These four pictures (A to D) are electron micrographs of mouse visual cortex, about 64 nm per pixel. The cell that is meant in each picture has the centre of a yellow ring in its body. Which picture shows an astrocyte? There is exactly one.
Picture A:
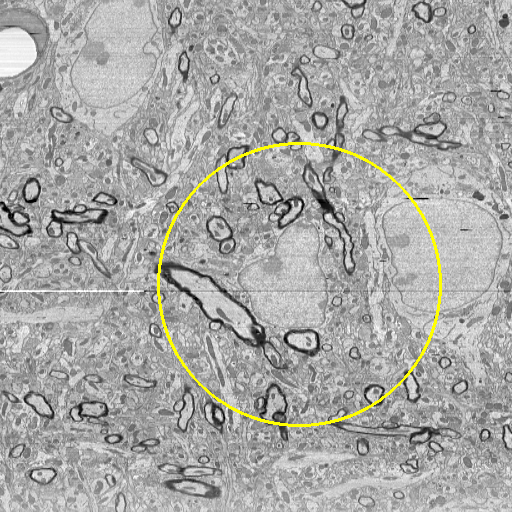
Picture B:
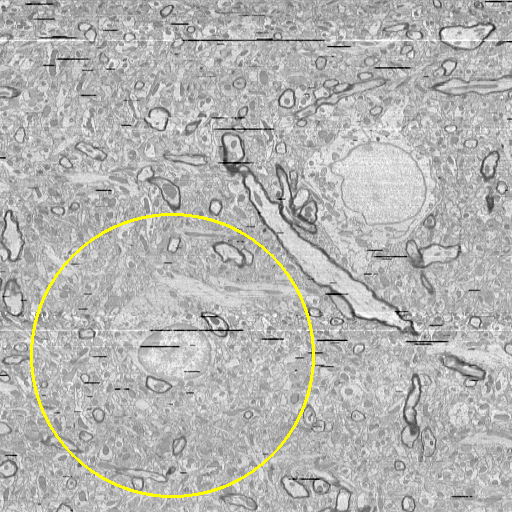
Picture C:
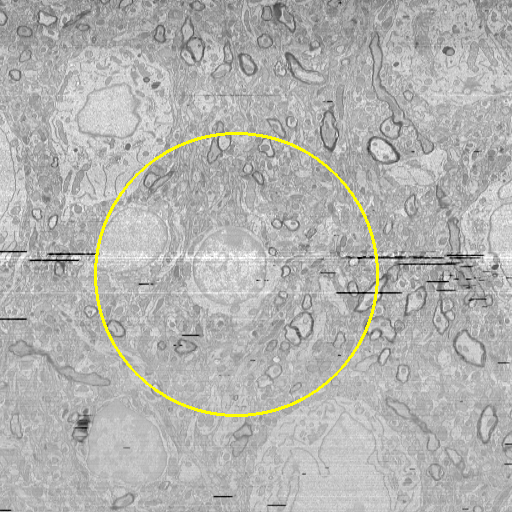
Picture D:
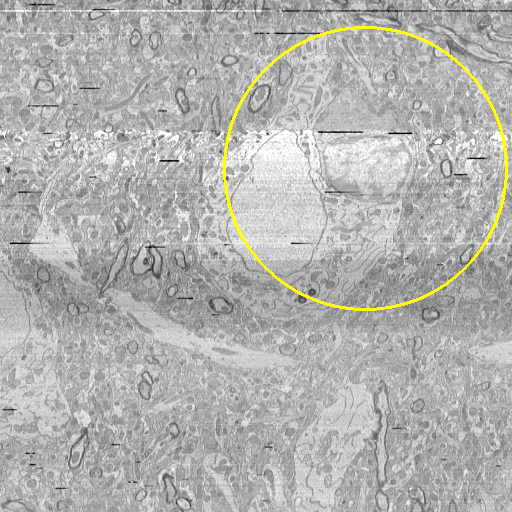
Picture A shows the astrocyte.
